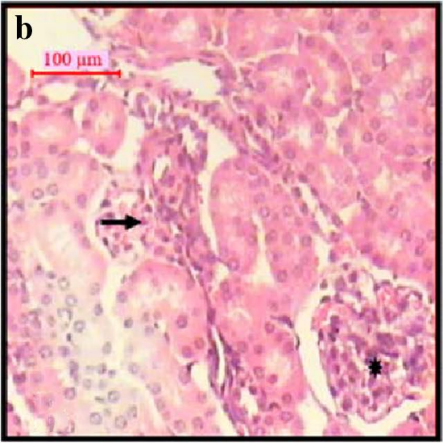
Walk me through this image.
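Kidney cortex in which the spaces between renal tubules are filled by dense clusters of small dark purple nuclei, an inflammatory infiltration. A renal corpuscle at the right is crowded with many nuclei and fills most of its capsule.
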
